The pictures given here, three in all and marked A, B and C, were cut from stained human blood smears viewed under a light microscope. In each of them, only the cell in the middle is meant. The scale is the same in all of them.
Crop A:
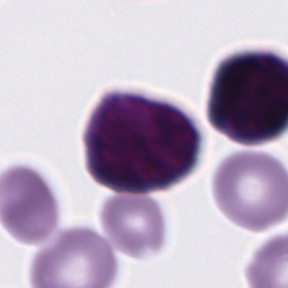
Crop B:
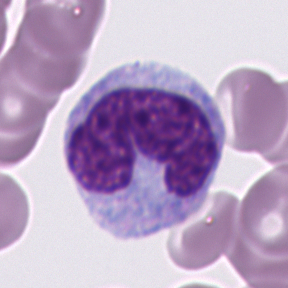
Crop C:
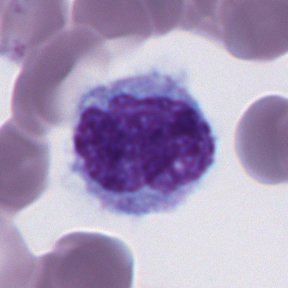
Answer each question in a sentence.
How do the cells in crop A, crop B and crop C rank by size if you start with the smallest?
The order is A, C, B, beginning with the smallest.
